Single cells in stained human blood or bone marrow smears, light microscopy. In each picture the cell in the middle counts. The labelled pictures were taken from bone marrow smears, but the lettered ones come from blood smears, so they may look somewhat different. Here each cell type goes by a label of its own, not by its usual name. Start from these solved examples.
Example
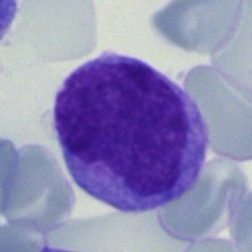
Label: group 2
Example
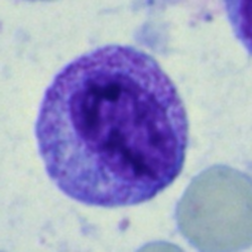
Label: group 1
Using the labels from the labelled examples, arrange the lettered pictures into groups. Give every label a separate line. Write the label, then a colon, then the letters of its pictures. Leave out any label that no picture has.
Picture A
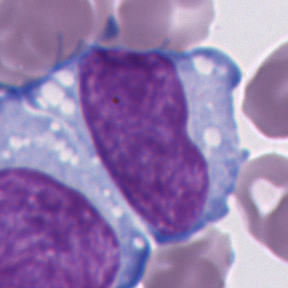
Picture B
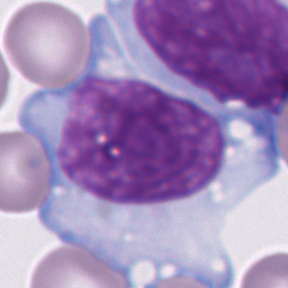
group 2: A, B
